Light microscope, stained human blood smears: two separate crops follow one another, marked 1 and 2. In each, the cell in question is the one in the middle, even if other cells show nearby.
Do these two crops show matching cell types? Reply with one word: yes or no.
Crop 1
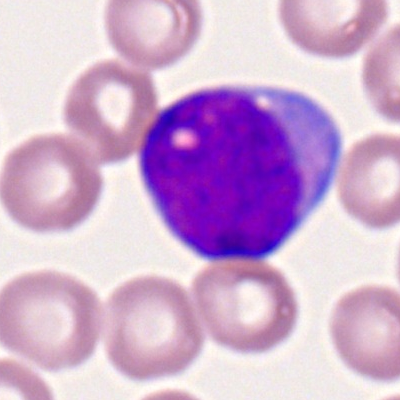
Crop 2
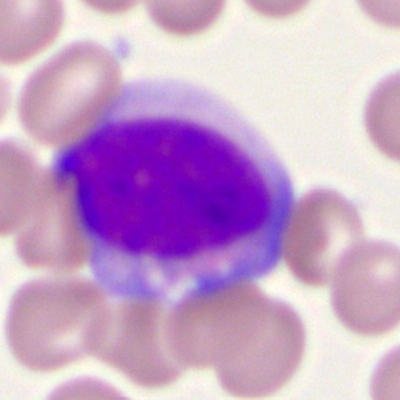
yes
